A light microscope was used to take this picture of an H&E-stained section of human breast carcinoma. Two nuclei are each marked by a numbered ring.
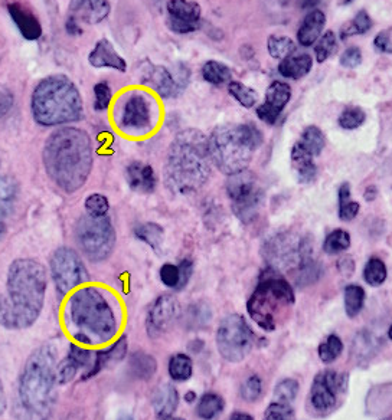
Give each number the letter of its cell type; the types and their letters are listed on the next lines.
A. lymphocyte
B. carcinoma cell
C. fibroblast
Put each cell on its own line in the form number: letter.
1: B
2: A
